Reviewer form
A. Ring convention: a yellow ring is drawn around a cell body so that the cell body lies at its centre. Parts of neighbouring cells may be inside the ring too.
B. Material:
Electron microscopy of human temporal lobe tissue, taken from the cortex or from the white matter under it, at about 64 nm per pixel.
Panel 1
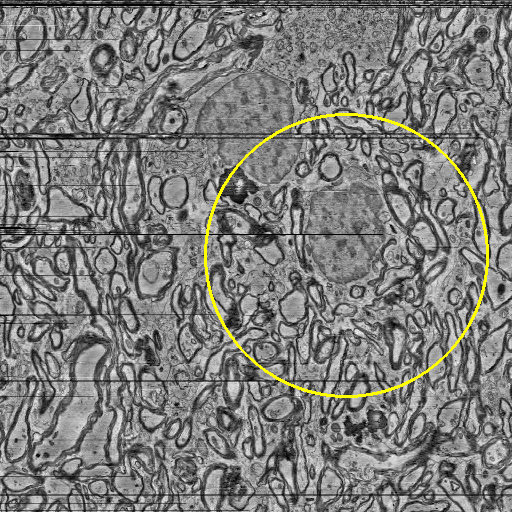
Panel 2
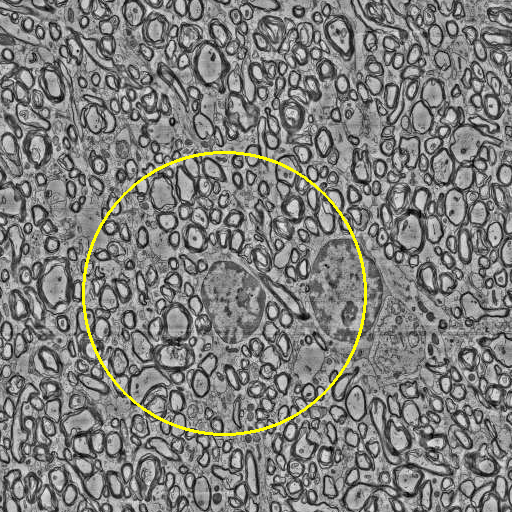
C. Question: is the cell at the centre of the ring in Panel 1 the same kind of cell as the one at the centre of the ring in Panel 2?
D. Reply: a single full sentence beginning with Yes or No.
No, the cells in Panel 1 and Panel 2 are two kinds of cell.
